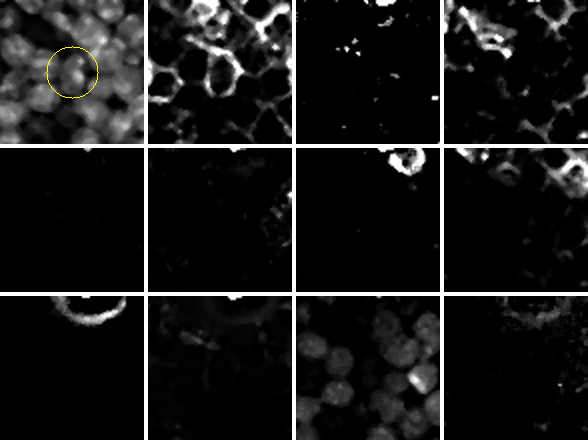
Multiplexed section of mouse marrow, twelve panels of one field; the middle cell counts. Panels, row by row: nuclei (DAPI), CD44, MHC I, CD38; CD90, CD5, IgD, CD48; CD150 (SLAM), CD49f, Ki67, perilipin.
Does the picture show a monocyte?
No, it shows a neutrophil.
